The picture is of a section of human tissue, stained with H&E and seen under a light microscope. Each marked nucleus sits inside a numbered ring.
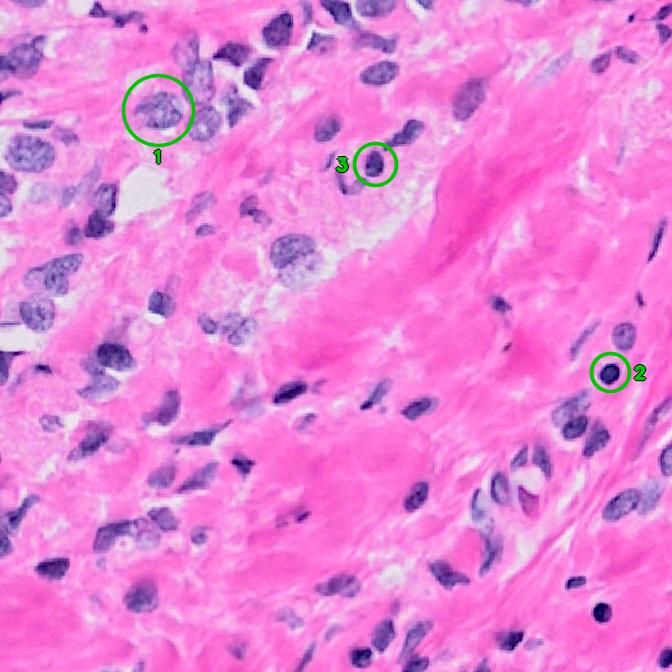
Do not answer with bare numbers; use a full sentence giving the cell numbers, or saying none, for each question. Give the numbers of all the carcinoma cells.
Among the labelled cells, only the cell labelled 1 is a carcinoma cell.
